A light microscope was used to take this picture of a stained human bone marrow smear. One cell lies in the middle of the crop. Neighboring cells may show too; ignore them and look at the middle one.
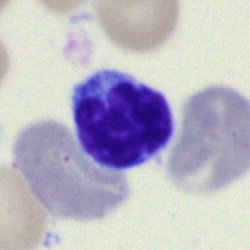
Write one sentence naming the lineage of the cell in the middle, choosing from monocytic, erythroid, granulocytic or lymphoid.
The cell in the middle is allocated to the lymphoid lineage.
